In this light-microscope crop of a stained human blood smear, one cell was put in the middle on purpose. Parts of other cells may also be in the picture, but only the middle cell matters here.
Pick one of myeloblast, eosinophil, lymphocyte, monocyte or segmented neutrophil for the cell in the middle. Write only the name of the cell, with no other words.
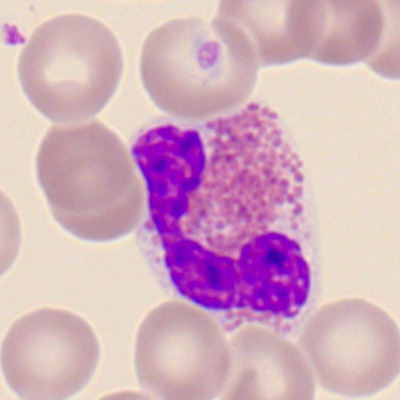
eosinophil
